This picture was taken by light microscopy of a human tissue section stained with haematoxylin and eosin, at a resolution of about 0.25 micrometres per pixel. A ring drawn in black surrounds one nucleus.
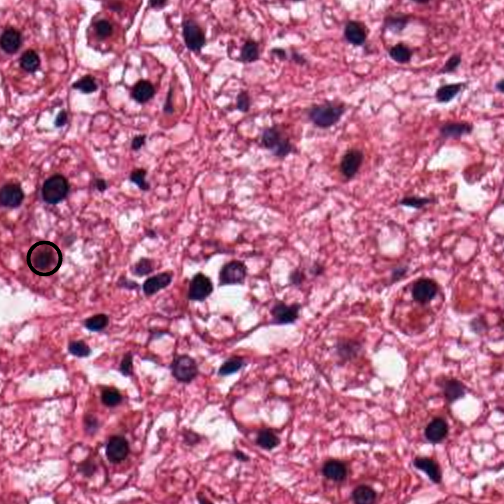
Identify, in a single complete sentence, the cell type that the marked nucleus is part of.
To an adrenal cortical cell belongs the marked nucleus.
